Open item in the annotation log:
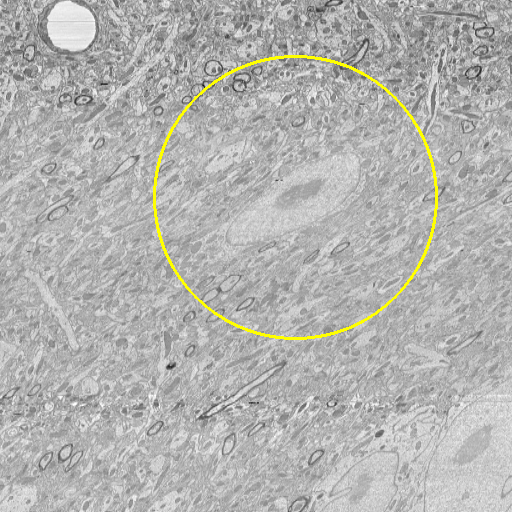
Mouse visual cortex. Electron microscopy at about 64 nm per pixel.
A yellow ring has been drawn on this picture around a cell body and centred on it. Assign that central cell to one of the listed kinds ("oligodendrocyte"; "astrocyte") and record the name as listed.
astrocyte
